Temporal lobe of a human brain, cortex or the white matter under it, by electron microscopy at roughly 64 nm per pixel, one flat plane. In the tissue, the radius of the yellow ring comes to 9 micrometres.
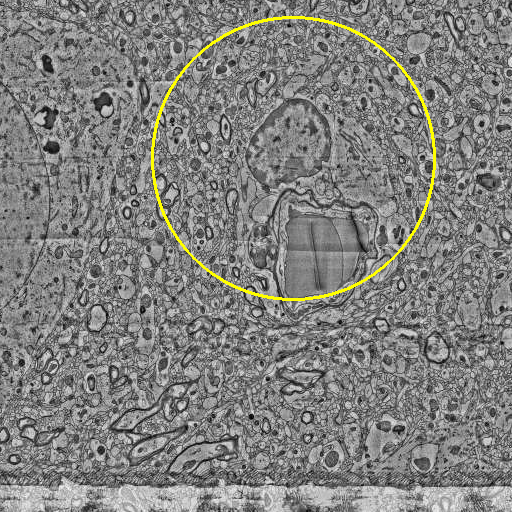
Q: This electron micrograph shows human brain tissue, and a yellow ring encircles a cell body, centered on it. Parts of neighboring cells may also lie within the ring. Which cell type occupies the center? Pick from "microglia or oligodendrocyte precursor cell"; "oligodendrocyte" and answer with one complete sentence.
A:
What sits at the ring's center in this micrograph is a microglial cell or oligodendrocyte precursor cell, among those choices.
